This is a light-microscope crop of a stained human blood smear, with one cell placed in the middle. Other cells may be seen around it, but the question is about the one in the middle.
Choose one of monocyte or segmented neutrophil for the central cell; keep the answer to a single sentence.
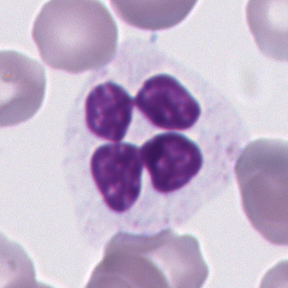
Here the cell in the middle is a segmented neutrophil.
